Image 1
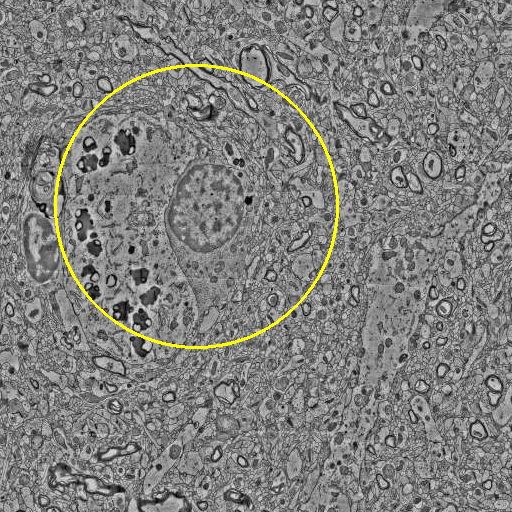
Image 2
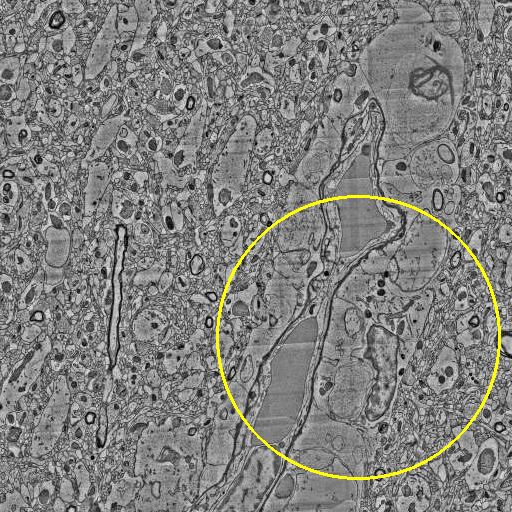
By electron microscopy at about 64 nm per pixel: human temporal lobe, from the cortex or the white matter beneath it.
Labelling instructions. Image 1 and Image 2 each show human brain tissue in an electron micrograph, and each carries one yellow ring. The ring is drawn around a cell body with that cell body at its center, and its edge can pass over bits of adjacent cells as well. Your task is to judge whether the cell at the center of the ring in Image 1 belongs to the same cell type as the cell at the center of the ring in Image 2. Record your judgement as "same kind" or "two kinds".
two kinds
